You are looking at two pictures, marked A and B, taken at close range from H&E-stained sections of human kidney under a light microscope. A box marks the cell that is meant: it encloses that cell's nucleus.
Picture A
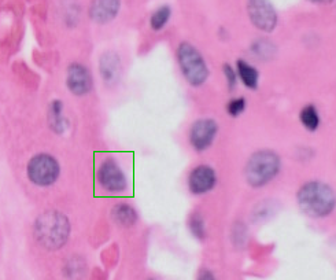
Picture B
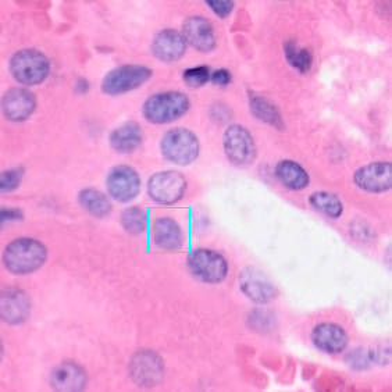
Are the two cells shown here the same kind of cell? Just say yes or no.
no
